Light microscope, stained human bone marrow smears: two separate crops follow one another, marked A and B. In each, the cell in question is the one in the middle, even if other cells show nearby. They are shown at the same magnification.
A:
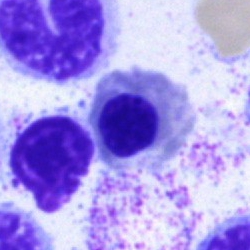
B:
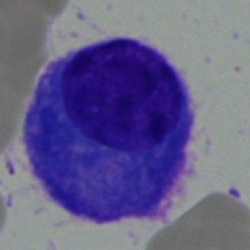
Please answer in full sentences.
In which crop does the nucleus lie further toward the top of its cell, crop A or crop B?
Seen within its cell, the nucleus in crop B lies further toward the top.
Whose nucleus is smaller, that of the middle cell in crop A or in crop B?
It is the nucleus in crop A; the one in crop B has about 4 times its area.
